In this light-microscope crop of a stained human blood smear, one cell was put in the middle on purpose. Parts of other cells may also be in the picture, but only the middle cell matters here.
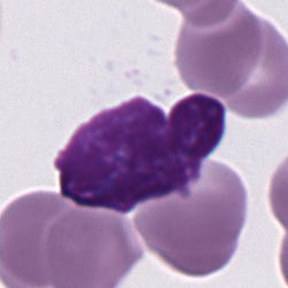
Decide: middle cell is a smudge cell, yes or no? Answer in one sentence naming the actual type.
Yes, the cell that lies centrally is a smudge cell.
